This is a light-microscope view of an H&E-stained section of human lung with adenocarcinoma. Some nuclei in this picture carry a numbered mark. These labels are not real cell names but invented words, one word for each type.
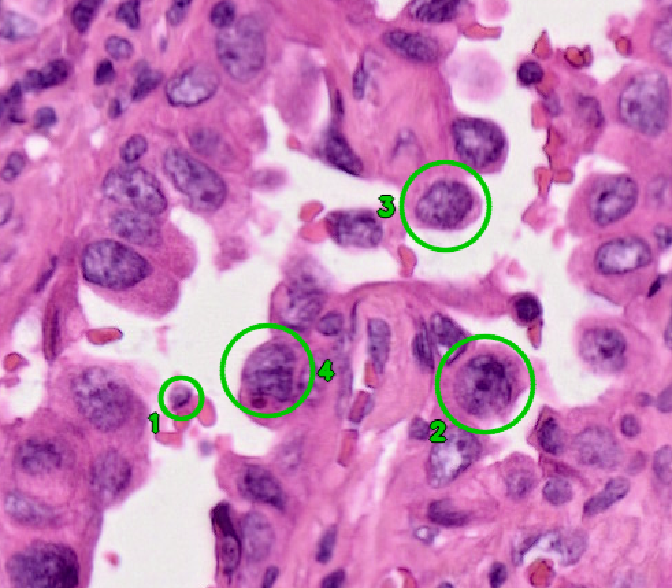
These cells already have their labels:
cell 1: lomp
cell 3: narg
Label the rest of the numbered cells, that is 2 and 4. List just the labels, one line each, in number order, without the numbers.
narg
narg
